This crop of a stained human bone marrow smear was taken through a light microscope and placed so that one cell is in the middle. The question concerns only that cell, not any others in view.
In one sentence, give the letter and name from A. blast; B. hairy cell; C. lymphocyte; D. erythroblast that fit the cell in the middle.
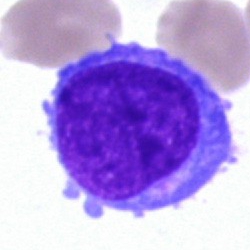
The correct option is A, as the central cell is a blast.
